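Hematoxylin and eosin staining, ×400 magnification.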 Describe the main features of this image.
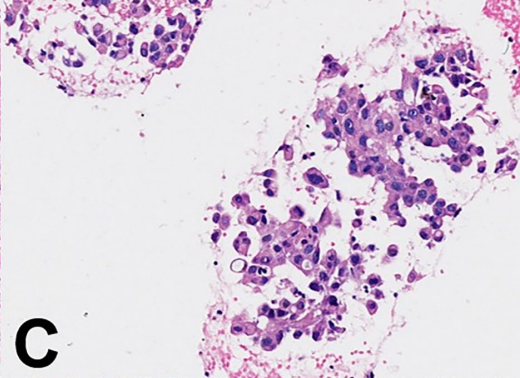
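Fragments of a pleomorphic carcinoma made of loosely cohesive clusters of large tumour cells lying in a pale, loose background. The nuclei are enlarged, hyperchromatic and vary strongly in size and shape, and the cells have ample pink cytoplasm.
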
